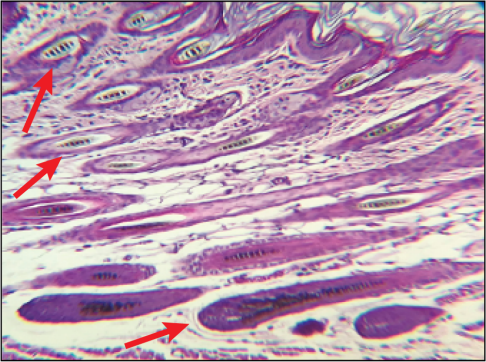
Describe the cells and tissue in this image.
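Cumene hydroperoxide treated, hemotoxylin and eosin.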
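Skin with numerous hair follicles in longitudinal section. The dermis beneath is pink connective tissue with scattered small nuclei. It is crowded with elongated follicles that run obliquely and parallel to one another. Each follicle is a sleeve of purple-staining epithelium around a central hair shaft, which appears as a pale channel with a dark, striated, pigmented core. Deeper follicles are larger and longer. Loose, pale connective tissue separates the follicles.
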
